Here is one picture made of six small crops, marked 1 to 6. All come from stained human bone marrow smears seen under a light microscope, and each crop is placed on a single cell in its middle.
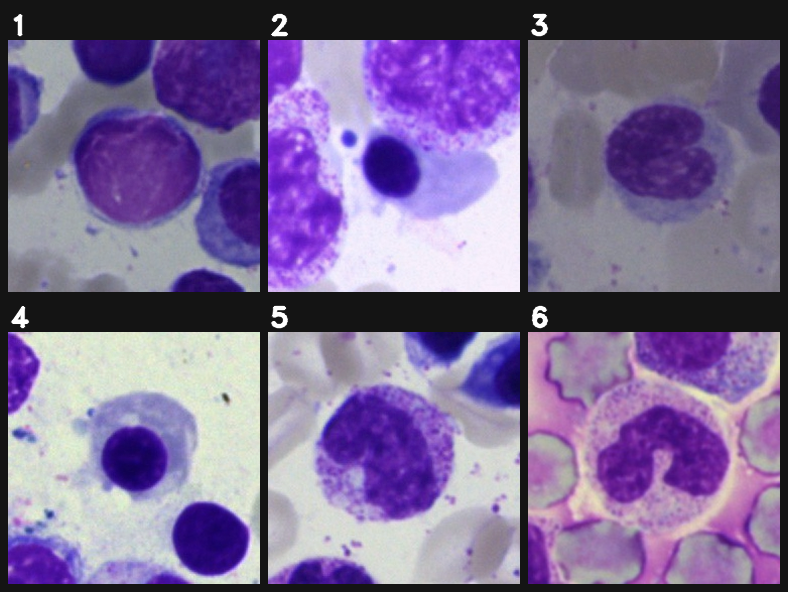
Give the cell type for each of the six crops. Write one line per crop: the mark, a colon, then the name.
1: lymphocyte
2: normoblast
3: lymphocyte
4: normoblast
5: band neutrophil
6: band neutrophil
